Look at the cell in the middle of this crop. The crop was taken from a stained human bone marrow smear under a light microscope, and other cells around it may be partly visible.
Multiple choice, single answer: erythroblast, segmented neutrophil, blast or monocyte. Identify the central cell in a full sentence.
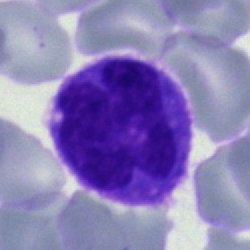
Positioned in the middle of the crop is a monocyte.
